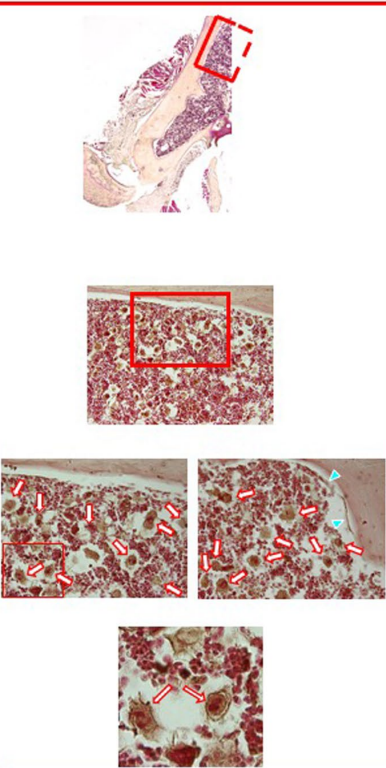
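This is bone with its marrow cavity. In the low-power view a pale pink shaft of compact bone encloses a cavity filled with marrow. Higher magnifications of the marrow just beneath the compact bone show a dense carpet of small, closely packed, red-stained marrow cells. Scattered among them are many much larger cells. These have abundant pale brownish cytoplasm and often lie in clear halos.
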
